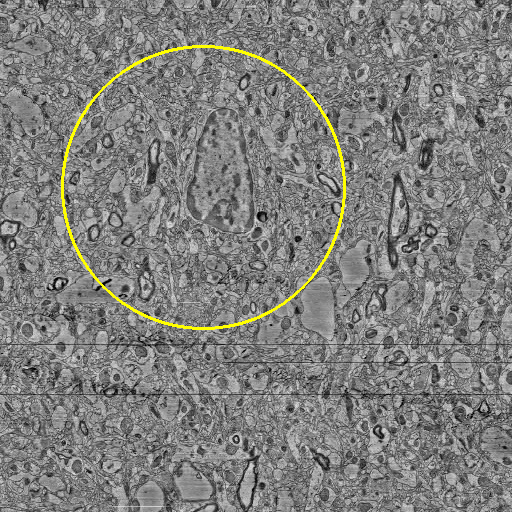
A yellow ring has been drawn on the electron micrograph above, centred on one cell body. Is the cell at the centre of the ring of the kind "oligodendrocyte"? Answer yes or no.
no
